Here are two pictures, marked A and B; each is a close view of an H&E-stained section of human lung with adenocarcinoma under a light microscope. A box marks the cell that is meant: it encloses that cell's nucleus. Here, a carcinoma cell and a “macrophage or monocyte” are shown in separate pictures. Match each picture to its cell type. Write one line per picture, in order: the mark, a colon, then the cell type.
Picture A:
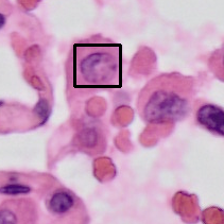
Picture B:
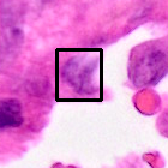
A: macrophage or monocyte
B: carcinoma cell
